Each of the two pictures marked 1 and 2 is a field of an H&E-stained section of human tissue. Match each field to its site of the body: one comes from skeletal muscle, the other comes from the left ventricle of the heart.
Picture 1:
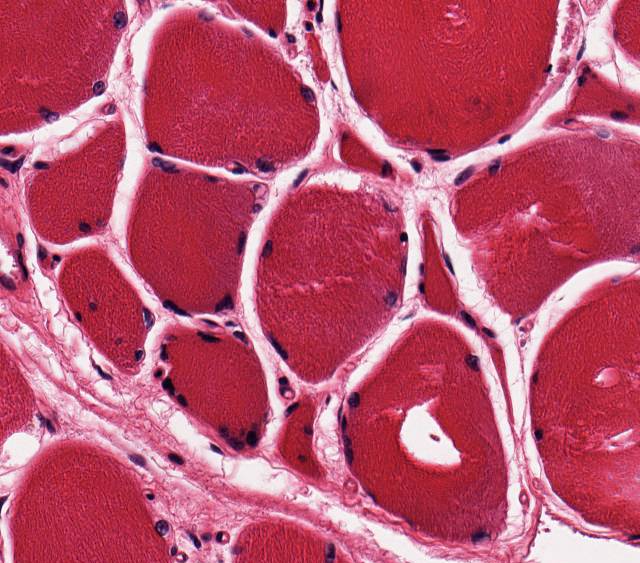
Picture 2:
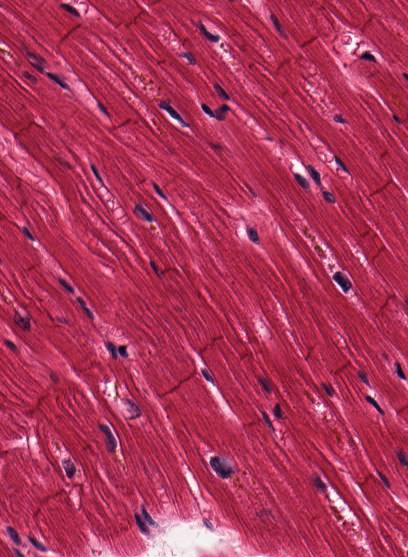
1: skeletal muscle
2: left ventricle of the heart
